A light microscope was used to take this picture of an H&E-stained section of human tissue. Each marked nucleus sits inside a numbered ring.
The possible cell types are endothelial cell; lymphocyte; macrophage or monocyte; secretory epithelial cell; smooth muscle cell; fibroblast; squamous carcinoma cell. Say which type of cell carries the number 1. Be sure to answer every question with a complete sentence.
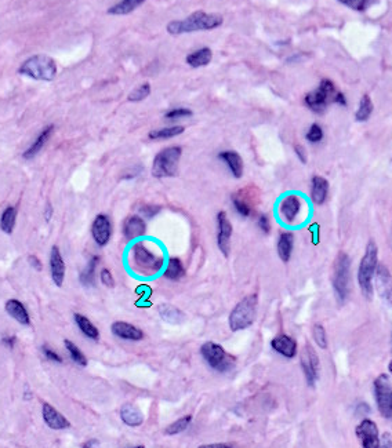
Here, the cell given the number 1 is a fibroblast.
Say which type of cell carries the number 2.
Belonging to an endothelial cell is the nucleus that carries the number 2.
